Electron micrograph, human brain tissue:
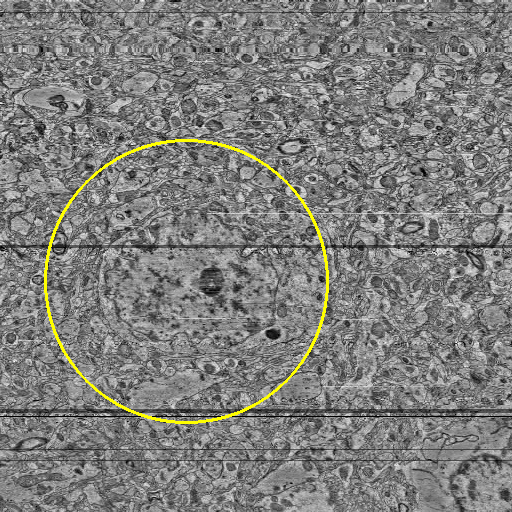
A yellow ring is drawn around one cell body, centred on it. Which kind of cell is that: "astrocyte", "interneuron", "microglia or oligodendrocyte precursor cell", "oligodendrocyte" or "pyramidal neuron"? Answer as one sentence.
It is an interneuron at the centre of the ring.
